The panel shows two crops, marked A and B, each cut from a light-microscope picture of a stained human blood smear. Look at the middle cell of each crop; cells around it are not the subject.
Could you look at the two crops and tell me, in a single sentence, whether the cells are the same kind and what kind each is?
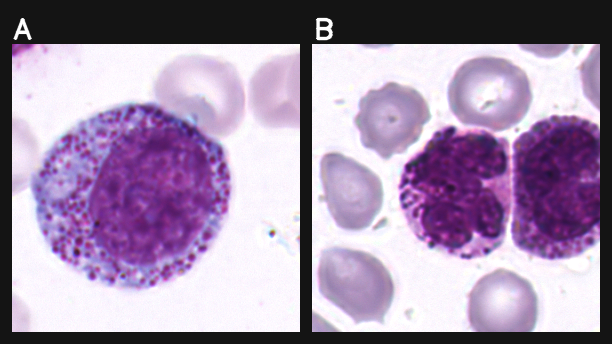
No, crop A shows a promyelocyte, and crop B, by contrast, shows a basophil.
